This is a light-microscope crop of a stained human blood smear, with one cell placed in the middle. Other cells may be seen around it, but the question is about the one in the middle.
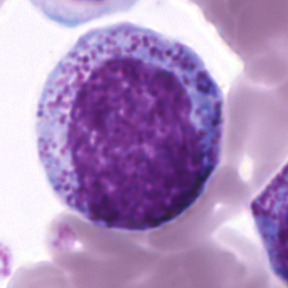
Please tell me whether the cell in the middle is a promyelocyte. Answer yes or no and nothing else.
yes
